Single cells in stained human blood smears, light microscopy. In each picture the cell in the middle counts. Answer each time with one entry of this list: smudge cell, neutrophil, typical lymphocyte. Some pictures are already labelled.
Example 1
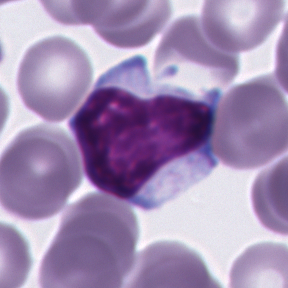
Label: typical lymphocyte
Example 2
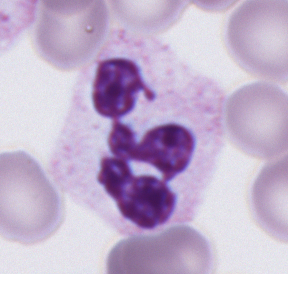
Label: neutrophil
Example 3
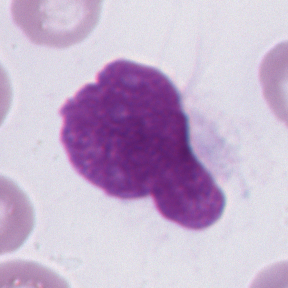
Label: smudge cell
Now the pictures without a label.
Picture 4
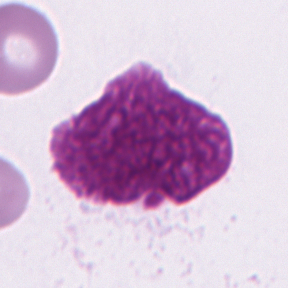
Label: smudge cell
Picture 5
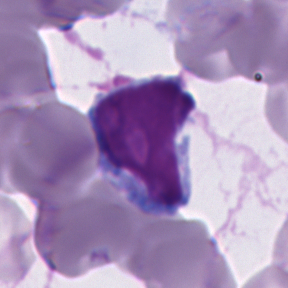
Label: typical lymphocyte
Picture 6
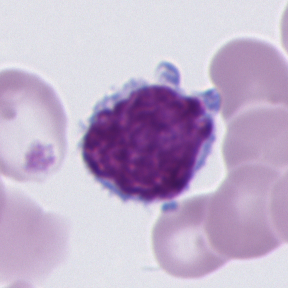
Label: typical lymphocyte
